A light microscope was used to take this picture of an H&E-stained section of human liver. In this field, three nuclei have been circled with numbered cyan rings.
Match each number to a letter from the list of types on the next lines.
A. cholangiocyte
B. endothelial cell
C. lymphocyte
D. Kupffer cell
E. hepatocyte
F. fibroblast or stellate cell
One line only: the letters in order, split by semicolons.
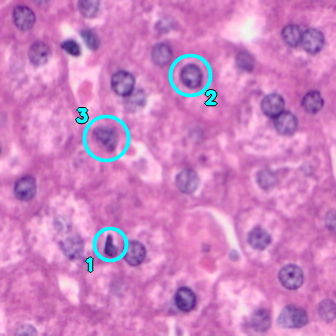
B; E; B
